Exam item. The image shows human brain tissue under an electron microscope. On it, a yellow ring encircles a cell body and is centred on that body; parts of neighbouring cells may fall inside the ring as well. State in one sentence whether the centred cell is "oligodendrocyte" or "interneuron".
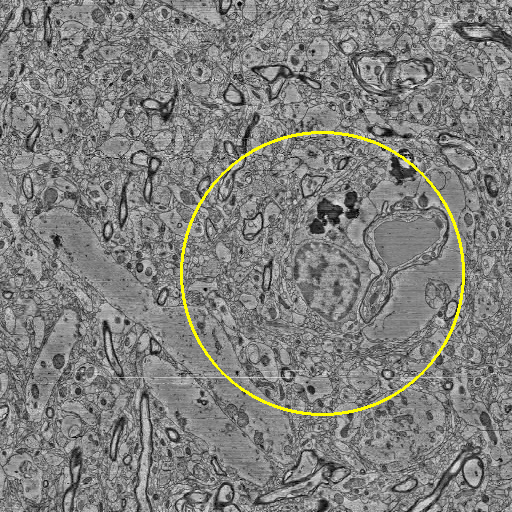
The cell body centred in the ring is an oligodendrocyte.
